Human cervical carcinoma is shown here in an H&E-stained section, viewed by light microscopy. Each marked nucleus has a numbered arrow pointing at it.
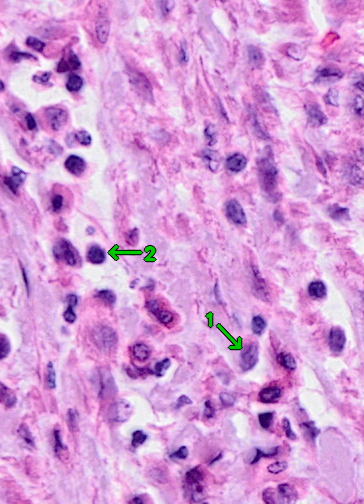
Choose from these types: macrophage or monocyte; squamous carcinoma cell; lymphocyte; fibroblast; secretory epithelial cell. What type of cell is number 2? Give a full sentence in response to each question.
The cell indicated with the number 2 is classed as a lymphocyte.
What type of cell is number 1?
The cell marked with the number 1 is a macrophage or monocyte.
